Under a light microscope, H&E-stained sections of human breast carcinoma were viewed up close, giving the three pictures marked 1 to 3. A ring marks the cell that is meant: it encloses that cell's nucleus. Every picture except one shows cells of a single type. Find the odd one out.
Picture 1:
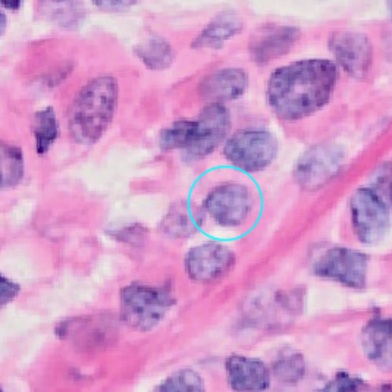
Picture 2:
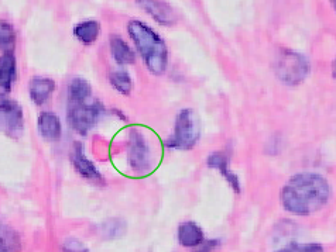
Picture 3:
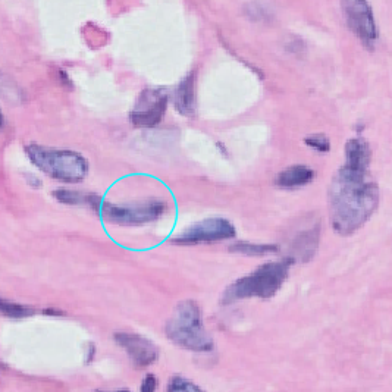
1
